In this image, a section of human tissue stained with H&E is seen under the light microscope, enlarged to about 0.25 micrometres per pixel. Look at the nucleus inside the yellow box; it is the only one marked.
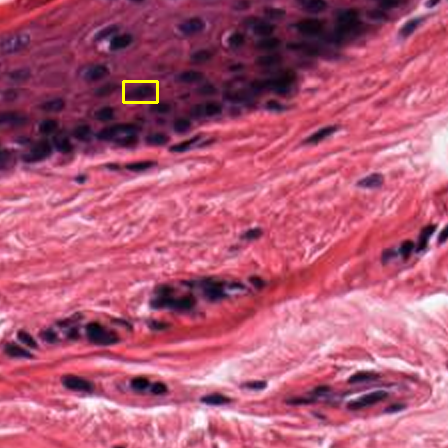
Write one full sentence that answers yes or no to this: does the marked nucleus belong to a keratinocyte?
Yes, the marked nucleus belongs to a keratinocyte in this image.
